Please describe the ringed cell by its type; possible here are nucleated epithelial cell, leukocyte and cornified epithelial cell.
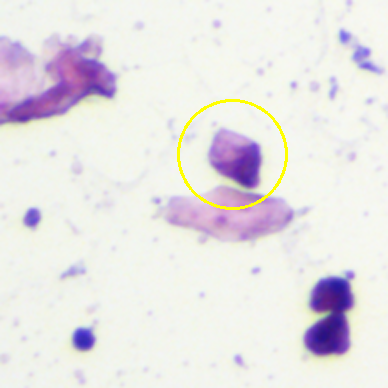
The yellow ring marks a cornified epithelial cell.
